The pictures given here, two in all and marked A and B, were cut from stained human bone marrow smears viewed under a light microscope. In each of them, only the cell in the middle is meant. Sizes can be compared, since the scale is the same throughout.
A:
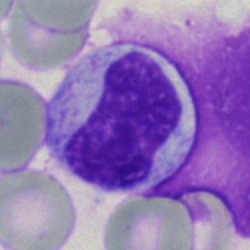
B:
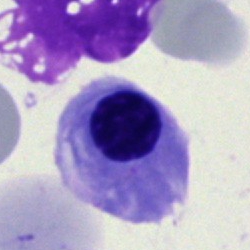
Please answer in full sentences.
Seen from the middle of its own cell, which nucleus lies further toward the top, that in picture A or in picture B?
Seen within its cell, the nucleus in picture B lies further toward the top.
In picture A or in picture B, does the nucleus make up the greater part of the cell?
In picture A the nucleus takes up the larger part of its cell.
